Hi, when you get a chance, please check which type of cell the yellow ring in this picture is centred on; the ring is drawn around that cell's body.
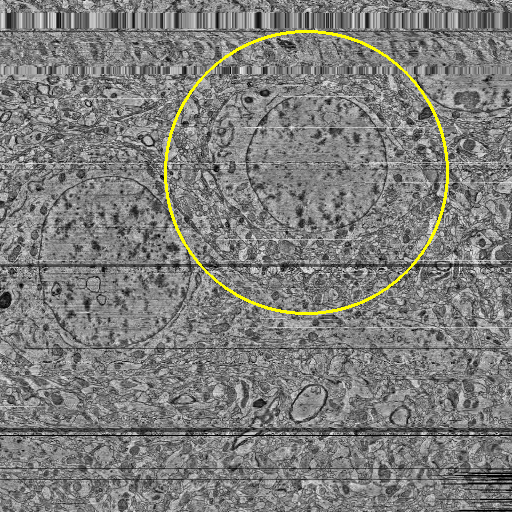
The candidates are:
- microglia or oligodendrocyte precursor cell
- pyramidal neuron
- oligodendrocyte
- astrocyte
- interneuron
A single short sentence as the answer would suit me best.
The ring is drawn around the body of a pyramidal neuron.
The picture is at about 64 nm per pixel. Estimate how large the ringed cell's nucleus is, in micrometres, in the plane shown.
Roughly 9 micrometers across in this plane.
